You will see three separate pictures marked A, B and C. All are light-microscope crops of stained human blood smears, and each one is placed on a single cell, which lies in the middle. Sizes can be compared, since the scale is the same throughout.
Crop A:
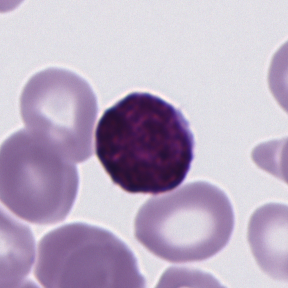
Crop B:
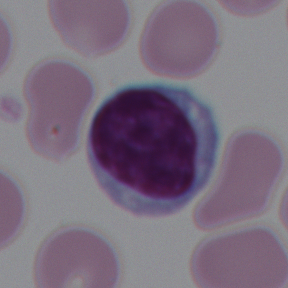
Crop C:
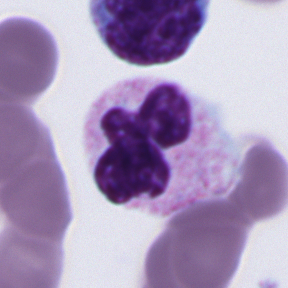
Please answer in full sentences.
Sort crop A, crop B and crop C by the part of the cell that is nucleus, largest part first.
The most filled comes first: A, B, C.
